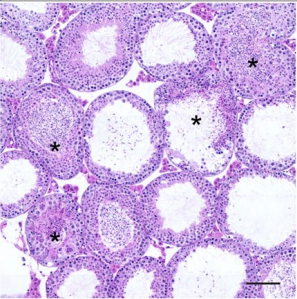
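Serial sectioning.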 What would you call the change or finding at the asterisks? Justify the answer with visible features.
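Neighbouring tubules have clear lumens.
Answer: sloughed germ cells/cellular debris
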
